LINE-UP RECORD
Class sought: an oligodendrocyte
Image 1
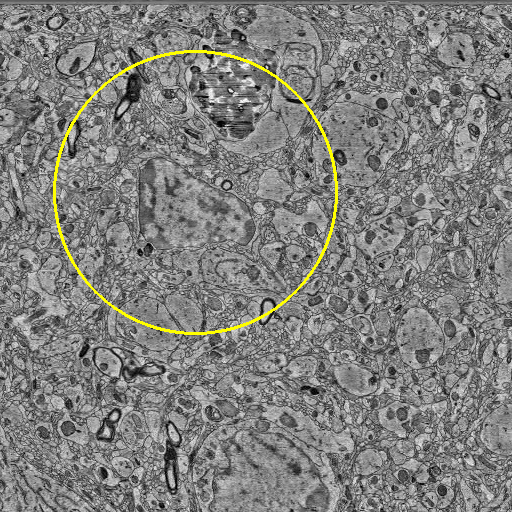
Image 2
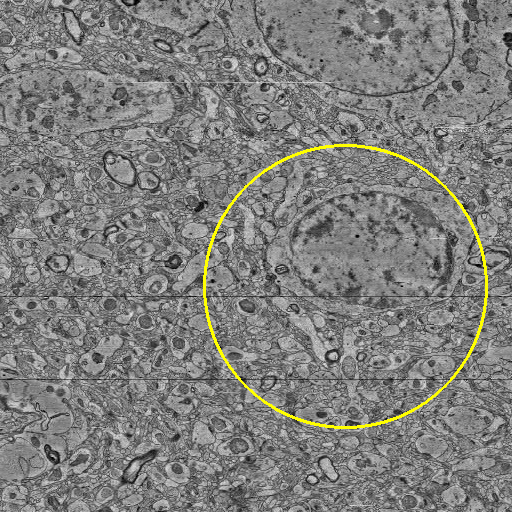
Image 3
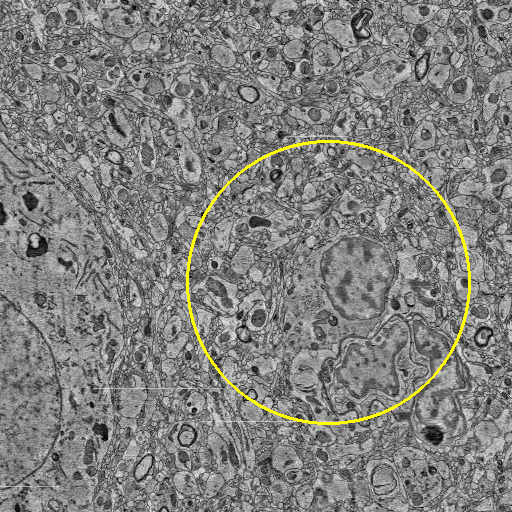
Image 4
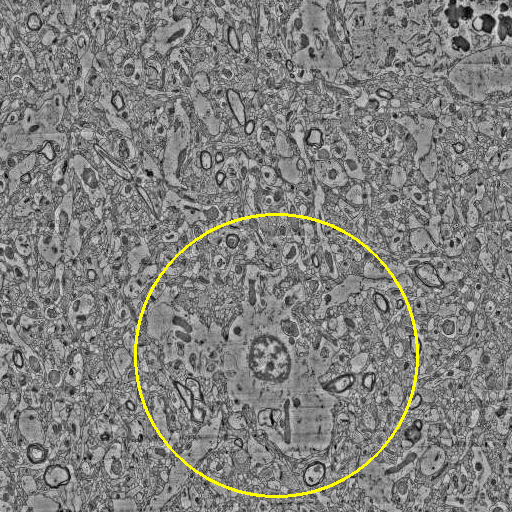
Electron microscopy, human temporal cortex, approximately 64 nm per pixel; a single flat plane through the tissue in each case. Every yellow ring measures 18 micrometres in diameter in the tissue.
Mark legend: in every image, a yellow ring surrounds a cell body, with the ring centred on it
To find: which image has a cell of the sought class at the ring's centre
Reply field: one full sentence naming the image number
The ring-centred cell of image 3 belongs to the class sought.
